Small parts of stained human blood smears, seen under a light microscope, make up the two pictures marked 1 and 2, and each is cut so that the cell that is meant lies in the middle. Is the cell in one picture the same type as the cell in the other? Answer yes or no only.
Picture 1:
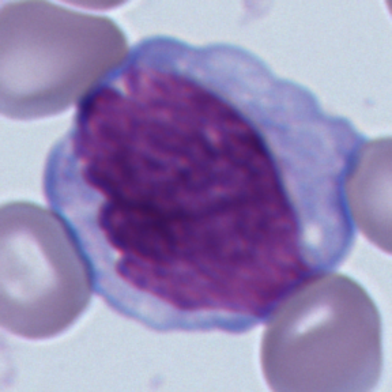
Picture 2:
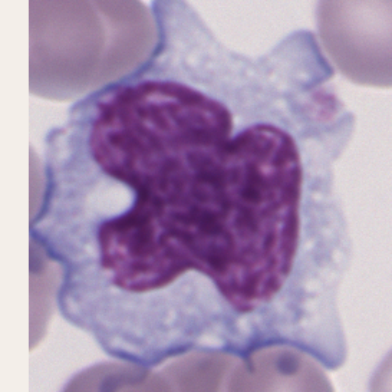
yes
